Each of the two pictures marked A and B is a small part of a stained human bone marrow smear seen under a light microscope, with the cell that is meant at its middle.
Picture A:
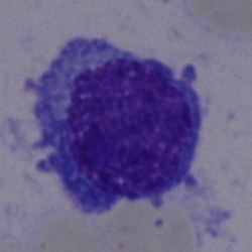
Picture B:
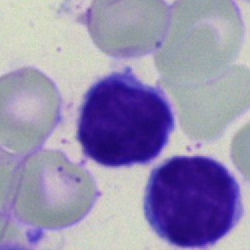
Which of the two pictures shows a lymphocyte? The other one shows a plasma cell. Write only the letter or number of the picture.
B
